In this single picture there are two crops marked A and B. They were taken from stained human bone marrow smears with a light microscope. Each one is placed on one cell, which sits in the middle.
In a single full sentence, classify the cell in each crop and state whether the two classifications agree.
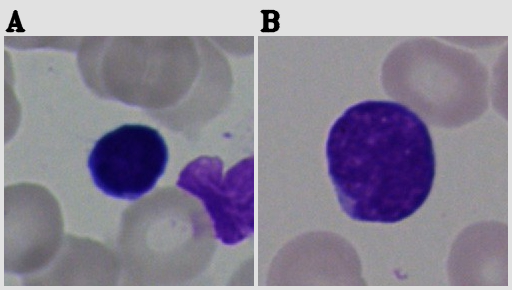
No, crop A should be called a lymphocyte, and crop B should be called a blast.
